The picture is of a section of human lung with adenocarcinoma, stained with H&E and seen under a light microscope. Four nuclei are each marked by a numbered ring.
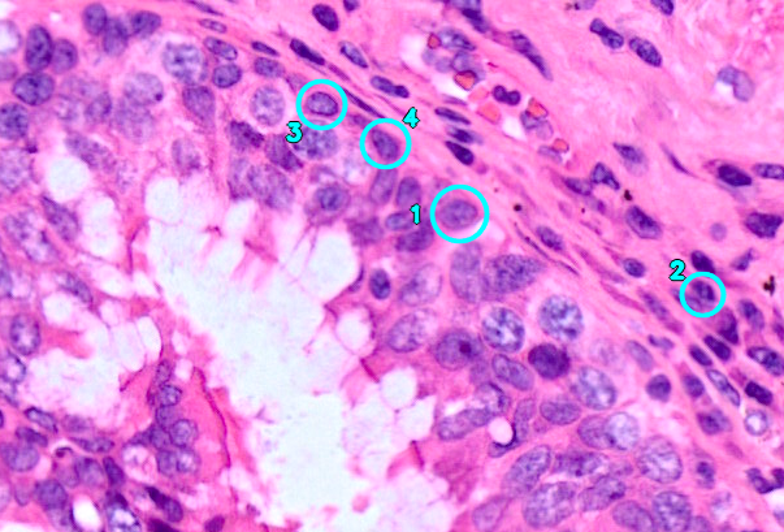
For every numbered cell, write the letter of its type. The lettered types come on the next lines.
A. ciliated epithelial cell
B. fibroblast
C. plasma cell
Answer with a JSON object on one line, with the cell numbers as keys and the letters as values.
{"1": "A", "2": "C", "3": "A", "4": "A"}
